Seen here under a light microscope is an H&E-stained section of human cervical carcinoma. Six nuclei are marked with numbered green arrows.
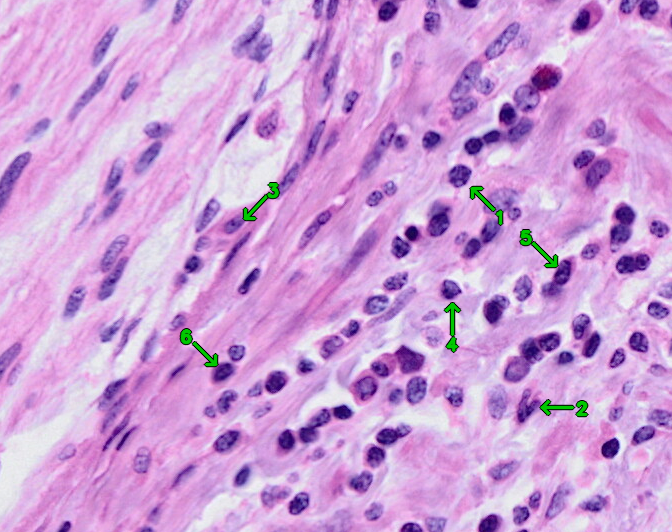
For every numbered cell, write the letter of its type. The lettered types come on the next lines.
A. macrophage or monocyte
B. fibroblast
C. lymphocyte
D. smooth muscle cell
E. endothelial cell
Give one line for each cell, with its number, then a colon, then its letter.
1: C
2: A
3: E
4: C
5: C
6: C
